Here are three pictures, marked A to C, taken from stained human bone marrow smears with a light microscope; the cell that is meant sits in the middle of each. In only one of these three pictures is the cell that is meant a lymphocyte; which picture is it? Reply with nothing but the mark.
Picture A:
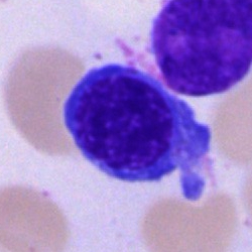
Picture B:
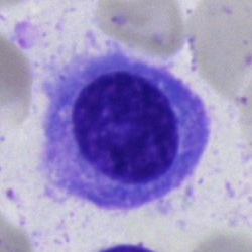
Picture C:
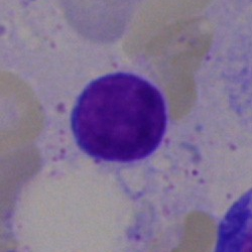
C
